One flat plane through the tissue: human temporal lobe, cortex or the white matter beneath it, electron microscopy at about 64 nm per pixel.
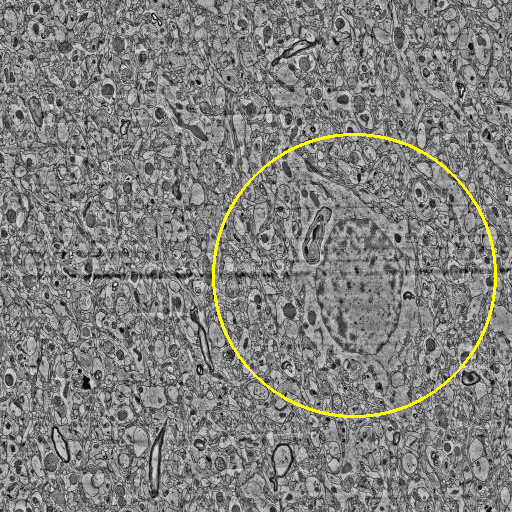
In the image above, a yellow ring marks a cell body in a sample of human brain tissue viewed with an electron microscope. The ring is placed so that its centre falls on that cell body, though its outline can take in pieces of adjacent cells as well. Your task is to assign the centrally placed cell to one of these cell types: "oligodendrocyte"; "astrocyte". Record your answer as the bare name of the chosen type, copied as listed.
astrocyte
